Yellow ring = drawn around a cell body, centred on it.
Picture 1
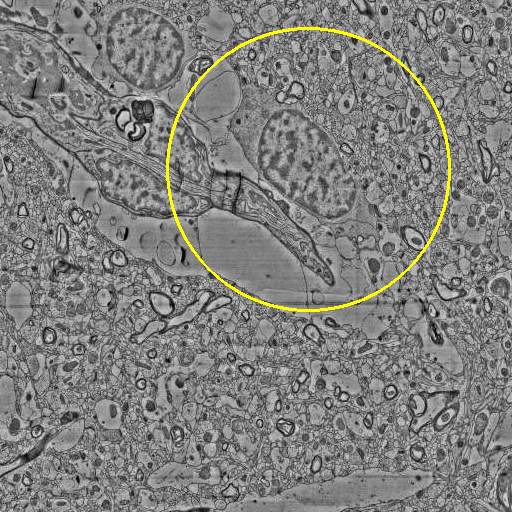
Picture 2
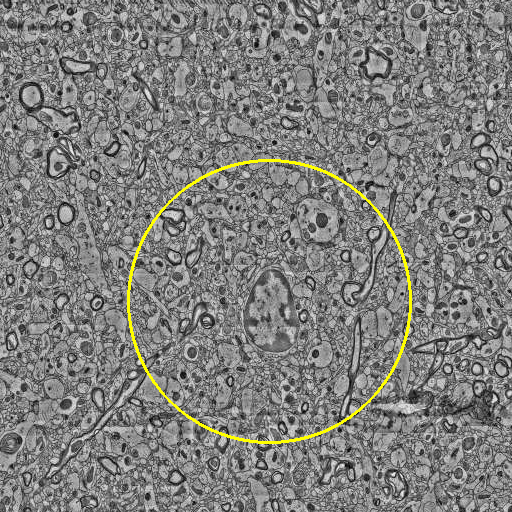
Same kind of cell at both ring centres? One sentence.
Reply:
No, they are two kinds of cell.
